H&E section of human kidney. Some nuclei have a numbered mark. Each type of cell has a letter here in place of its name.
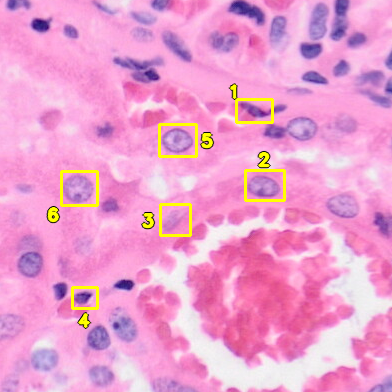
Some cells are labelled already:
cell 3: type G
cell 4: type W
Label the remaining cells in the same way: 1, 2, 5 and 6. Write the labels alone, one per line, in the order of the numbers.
type W
type G
type G
type G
